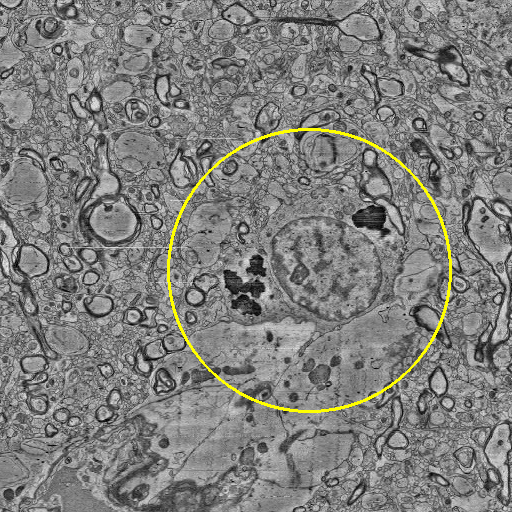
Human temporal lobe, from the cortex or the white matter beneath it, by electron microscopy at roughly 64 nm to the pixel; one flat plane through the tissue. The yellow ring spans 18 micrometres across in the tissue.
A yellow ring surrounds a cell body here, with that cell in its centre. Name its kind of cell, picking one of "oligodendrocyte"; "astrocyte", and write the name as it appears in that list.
oligodendrocyte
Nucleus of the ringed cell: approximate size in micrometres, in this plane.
The nucleus works out at approximately 8 by 6 micrometres in this plane.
